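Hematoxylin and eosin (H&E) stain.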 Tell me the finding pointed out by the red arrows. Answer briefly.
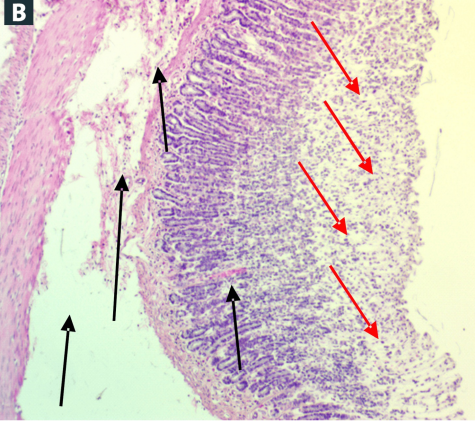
Extensive disturbance superficial mucosa.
